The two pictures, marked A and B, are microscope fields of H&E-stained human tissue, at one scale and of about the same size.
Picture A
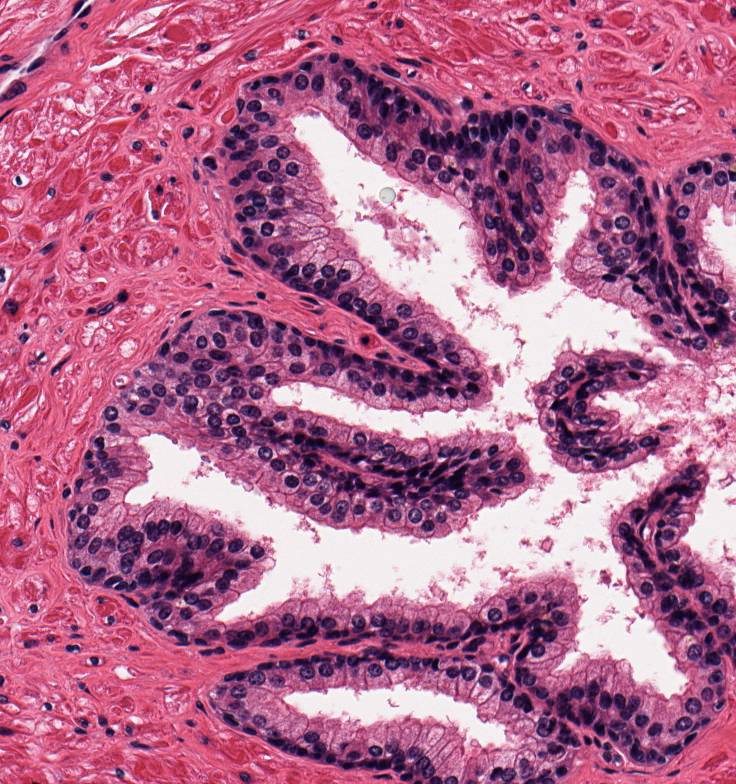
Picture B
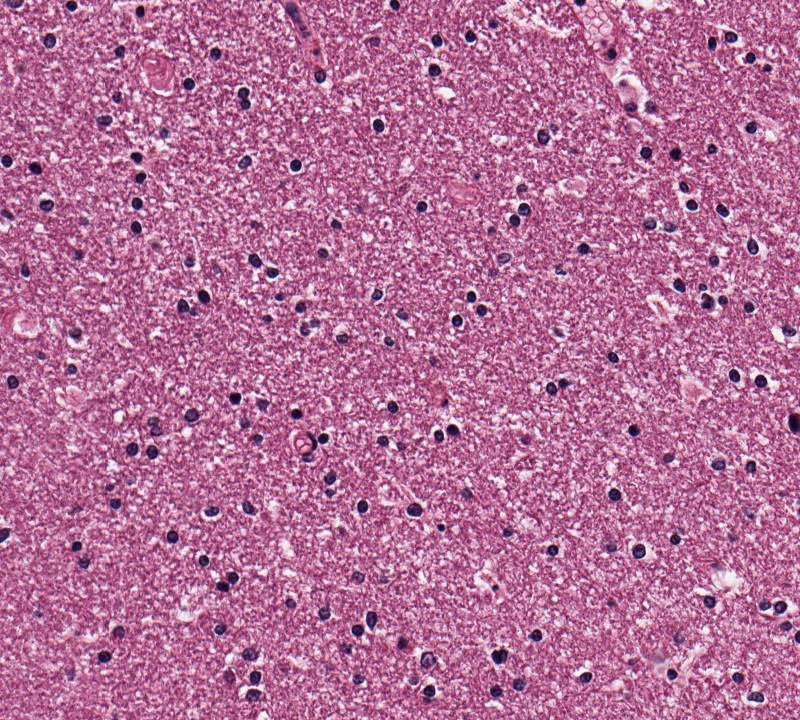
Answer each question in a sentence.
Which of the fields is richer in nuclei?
There are more nuclei in picture A.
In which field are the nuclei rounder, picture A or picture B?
Rounder nuclei lie in picture B.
